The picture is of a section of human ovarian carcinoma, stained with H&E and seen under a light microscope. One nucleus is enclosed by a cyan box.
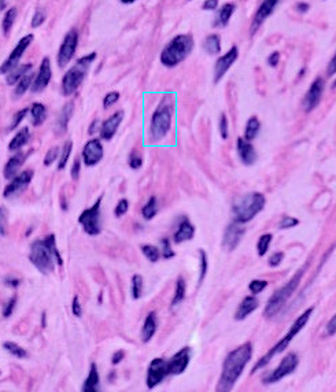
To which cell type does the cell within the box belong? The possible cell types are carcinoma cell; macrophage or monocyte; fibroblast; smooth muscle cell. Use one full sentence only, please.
In this preparation, the cell within the box is a smooth muscle cell.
